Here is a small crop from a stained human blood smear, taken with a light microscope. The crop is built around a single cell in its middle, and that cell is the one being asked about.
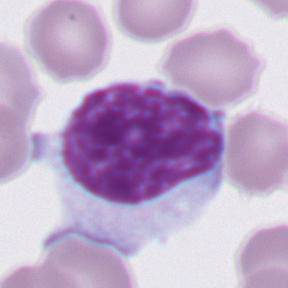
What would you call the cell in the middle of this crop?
typical lymphocyte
